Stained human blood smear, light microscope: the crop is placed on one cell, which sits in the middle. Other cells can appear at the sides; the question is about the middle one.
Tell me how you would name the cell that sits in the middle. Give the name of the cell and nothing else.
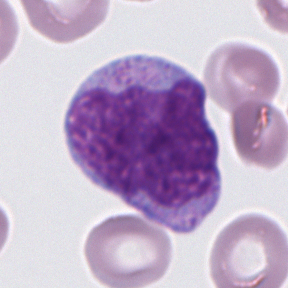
atypical promyelocyte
